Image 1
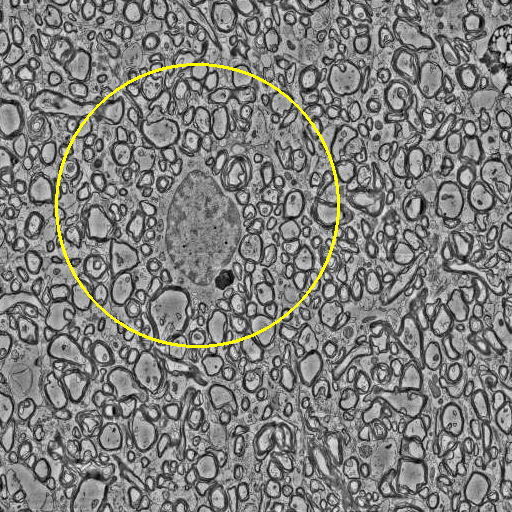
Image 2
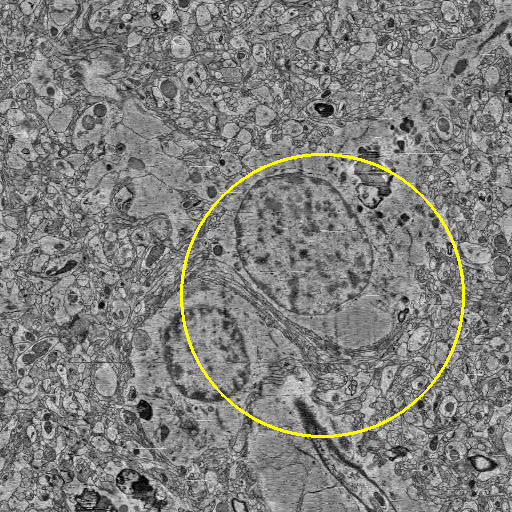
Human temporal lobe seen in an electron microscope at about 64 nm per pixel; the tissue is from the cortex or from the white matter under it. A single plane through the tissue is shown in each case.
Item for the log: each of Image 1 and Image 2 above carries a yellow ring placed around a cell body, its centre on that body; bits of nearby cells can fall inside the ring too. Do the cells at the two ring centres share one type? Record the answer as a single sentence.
No, the two cells at the ring centres in Image 1 and Image 2 are of two types.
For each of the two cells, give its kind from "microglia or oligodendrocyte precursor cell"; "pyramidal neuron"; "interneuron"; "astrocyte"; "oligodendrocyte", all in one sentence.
The first picture has an oligodendrocyte in its ring, the second has an astrocyte.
